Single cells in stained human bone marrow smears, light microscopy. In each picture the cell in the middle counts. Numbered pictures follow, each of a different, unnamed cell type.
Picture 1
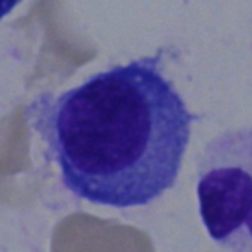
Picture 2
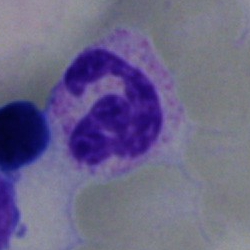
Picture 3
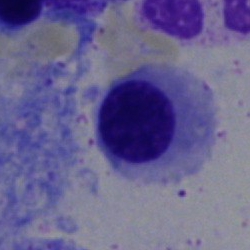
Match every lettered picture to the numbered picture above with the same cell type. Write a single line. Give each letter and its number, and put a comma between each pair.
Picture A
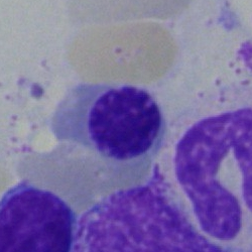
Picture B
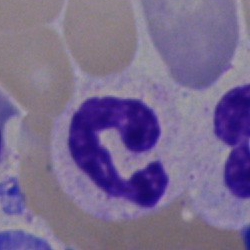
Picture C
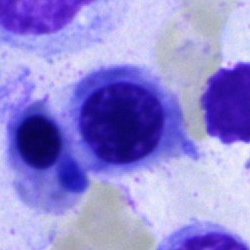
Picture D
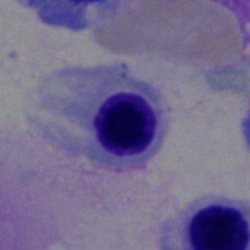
A 3, B 2, C 3, D 3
